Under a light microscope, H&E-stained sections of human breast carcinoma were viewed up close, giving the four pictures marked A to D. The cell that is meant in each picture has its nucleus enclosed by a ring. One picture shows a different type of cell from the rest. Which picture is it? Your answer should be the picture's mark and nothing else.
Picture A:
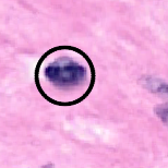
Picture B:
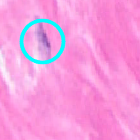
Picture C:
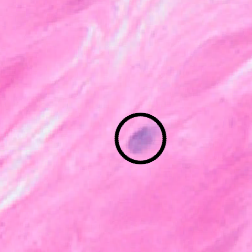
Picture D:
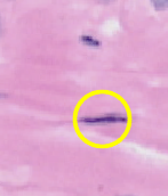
A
